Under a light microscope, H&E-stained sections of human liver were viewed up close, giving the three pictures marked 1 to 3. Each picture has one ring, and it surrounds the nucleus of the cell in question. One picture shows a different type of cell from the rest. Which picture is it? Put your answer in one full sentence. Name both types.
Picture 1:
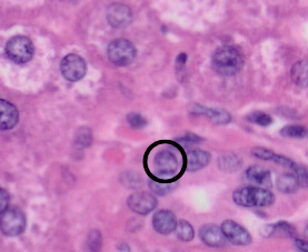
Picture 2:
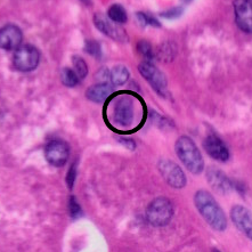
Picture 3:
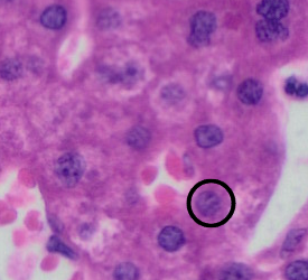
Picture 3 is the odd one out: it shows a hepatocyte, while the others show cholangiocytes.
